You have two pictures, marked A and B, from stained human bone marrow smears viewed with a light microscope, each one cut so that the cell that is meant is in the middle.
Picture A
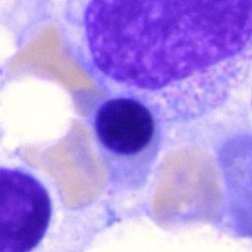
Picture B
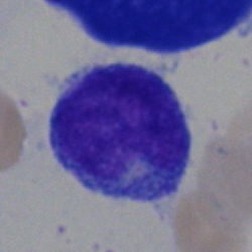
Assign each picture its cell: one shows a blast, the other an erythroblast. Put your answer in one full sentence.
Picture A shows an erythroblast and picture B shows a blast.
